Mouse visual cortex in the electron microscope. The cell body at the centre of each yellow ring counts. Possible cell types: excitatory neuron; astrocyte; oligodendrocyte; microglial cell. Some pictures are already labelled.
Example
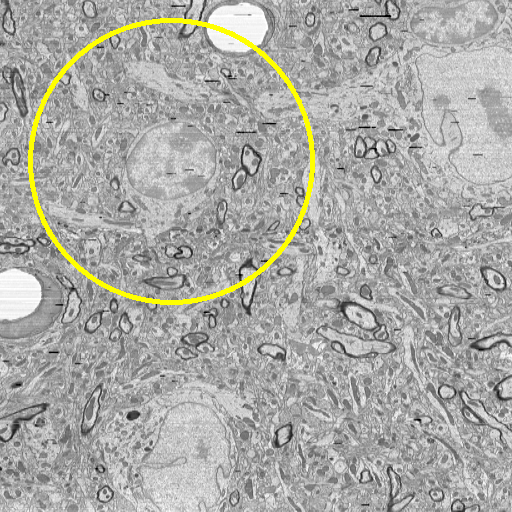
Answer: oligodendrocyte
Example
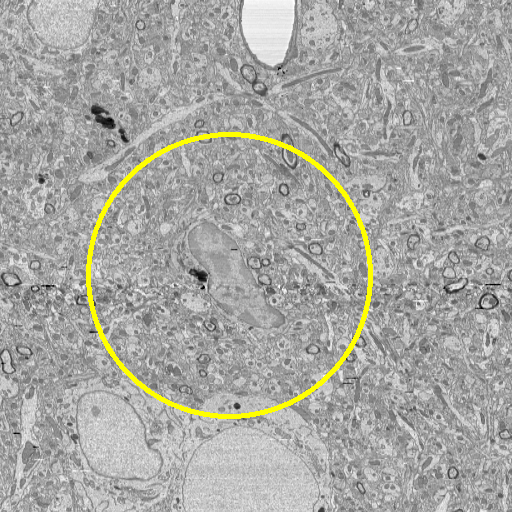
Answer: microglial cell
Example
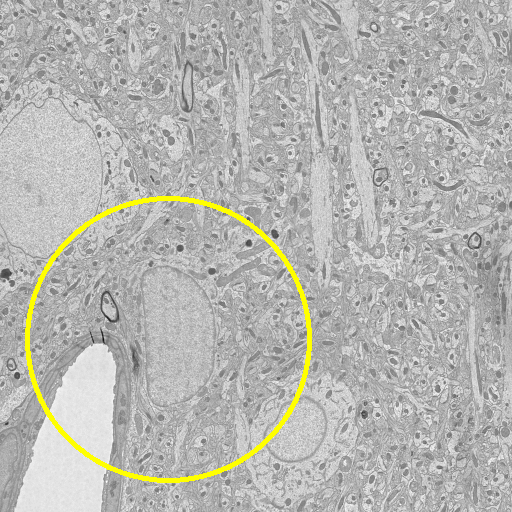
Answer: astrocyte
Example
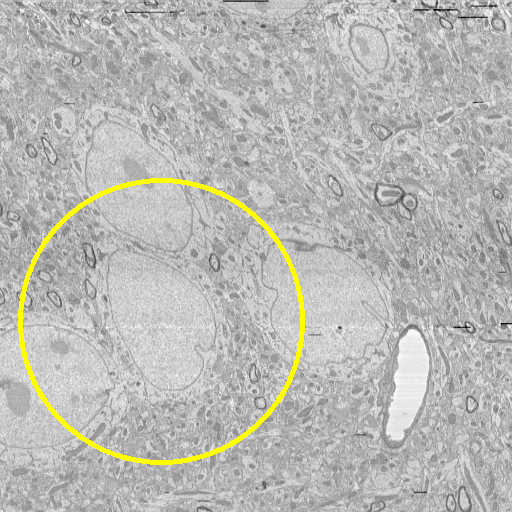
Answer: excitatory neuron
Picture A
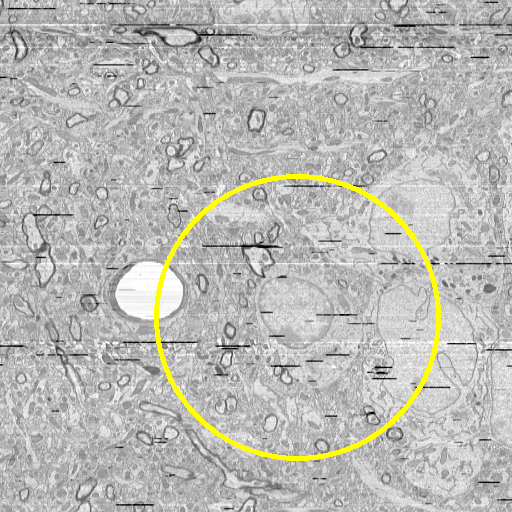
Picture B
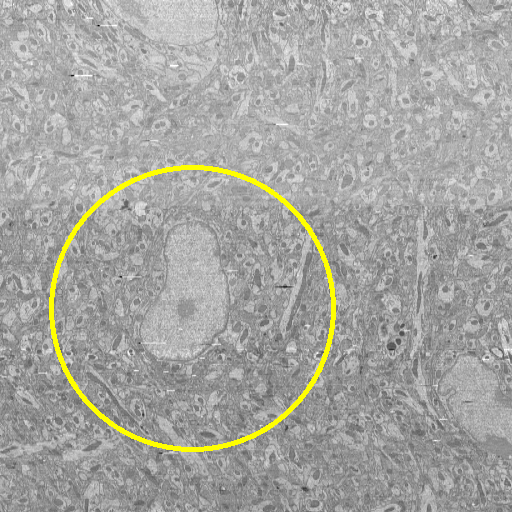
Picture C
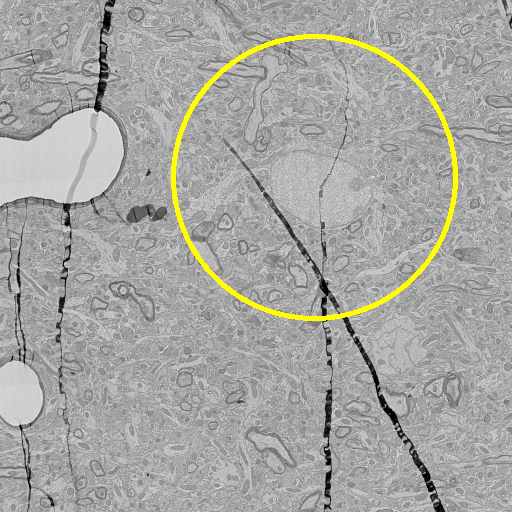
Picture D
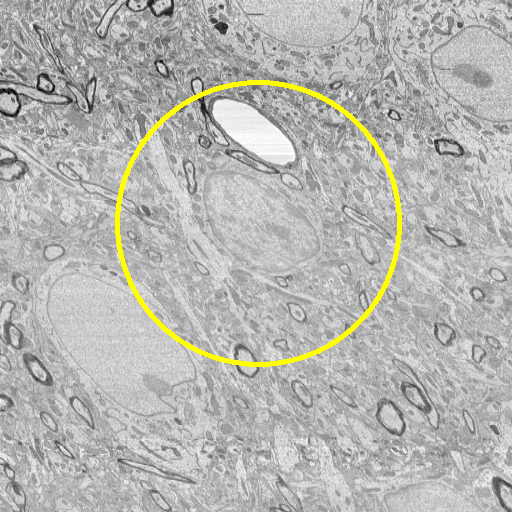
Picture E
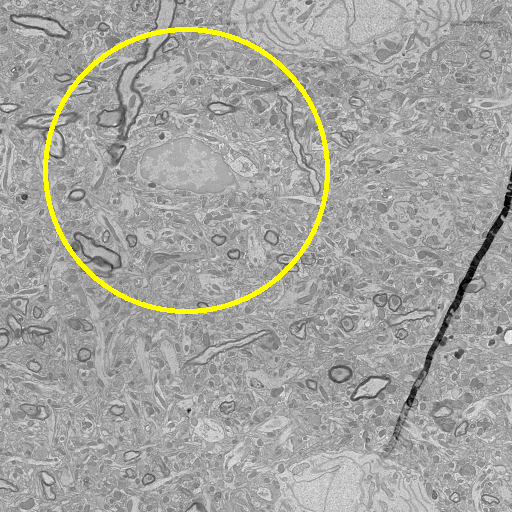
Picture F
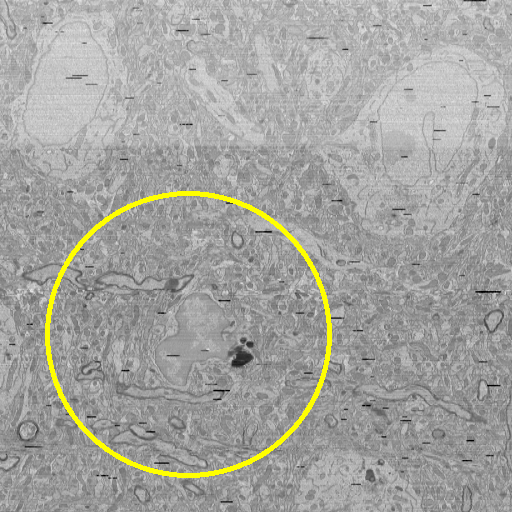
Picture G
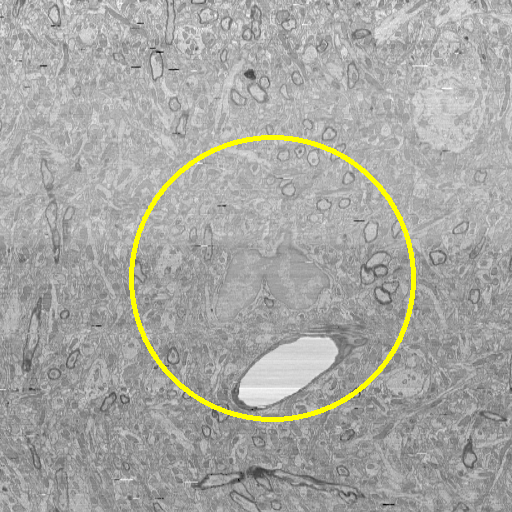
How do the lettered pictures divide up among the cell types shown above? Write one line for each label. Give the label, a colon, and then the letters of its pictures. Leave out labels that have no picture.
astrocyte: B, C
oligodendrocyte: A, D
microglial cell: E, F, G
